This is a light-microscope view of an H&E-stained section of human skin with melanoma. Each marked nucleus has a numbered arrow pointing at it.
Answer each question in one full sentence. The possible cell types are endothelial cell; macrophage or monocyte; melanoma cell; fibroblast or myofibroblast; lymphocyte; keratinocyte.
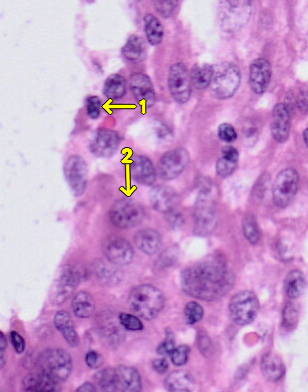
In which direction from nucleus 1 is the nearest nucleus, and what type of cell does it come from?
It is a melanoma cell, whose nucleus lies above and to the right of nucleus 1.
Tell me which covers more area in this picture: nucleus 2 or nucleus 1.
Nucleus 2 is larger, with an area about 2 times that of nucleus 1.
